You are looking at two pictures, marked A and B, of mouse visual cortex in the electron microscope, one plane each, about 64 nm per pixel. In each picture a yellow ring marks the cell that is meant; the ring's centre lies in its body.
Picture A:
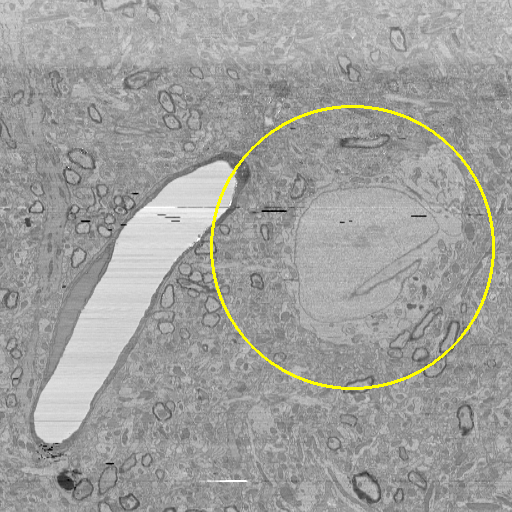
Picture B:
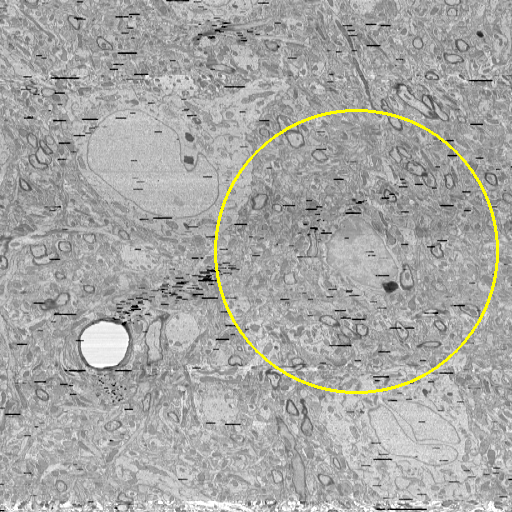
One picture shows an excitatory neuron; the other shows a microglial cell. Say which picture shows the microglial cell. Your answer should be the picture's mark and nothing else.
B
